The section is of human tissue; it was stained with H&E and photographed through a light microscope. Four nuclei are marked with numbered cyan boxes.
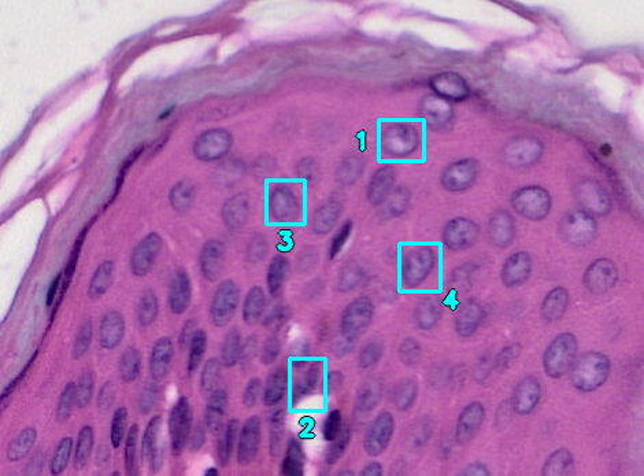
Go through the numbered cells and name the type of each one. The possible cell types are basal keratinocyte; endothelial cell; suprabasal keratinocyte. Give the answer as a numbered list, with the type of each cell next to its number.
1. suprabasal keratinocyte
2. basal keratinocyte
3. suprabasal keratinocyte
4. suprabasal keratinocyte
